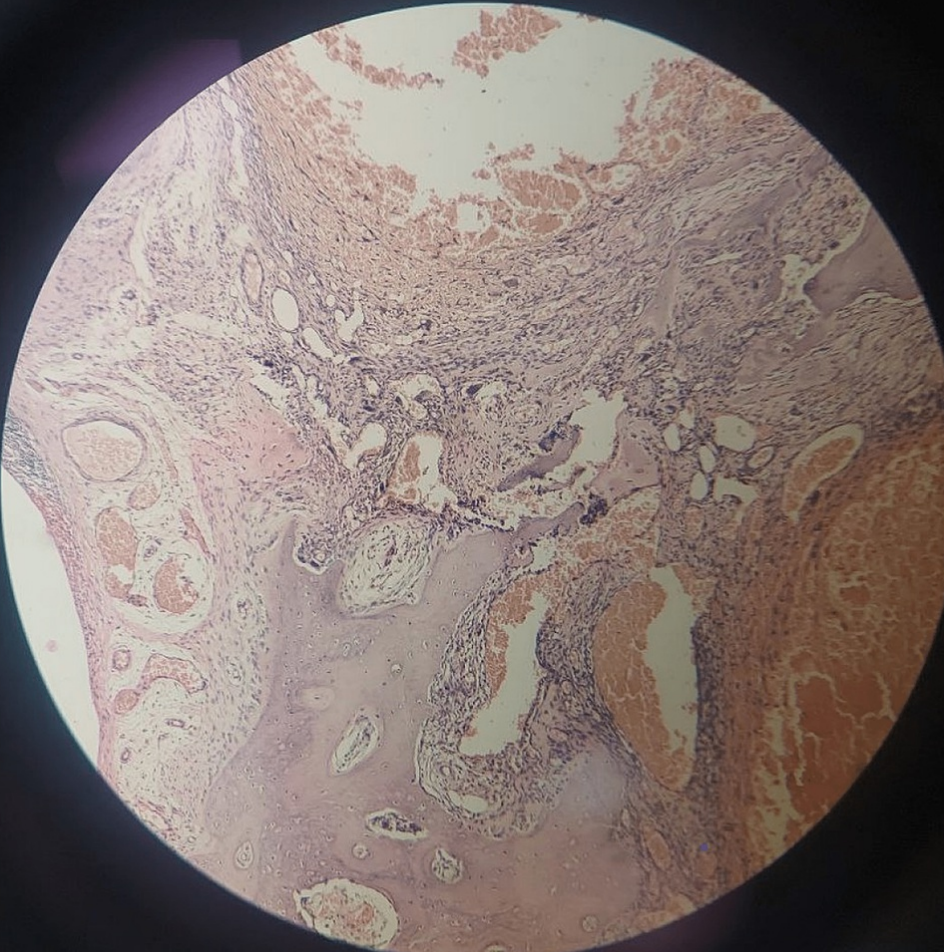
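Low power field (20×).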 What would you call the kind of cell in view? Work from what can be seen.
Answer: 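Fibroblasts. Bands of spindle-shaped cells with elongated nuclei run around the blood-filled spaces. These cells lie in a loose pink fibrous stroma.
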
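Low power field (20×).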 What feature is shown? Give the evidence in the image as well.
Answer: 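Blood-filled cystic areas. Large spaces are filled with masses of red-orange blood cells. Some of these spaces are partly empty and white, with the blood loosely scattered at their edges.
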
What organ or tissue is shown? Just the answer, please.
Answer: Bone.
